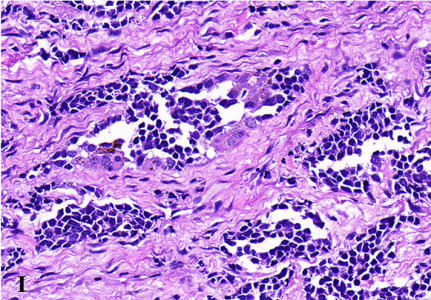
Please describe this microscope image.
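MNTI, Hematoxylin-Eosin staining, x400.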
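The cells have round, dark blue nuclei and very scant cytoplasm, and are crowded closely together. Some nests surround narrow cleft-like spaces. Between the nests, the stroma contains wavy pink fibers with sparse spindle-shaped nuclei.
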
